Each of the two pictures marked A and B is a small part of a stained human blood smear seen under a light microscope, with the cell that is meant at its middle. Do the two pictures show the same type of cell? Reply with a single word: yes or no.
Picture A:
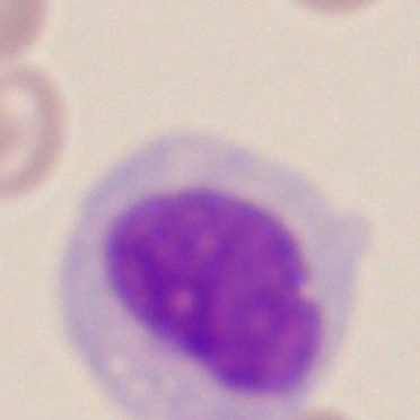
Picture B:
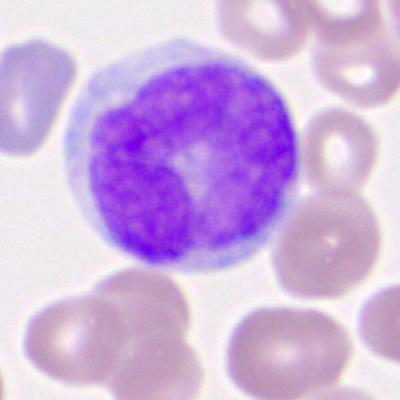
yes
